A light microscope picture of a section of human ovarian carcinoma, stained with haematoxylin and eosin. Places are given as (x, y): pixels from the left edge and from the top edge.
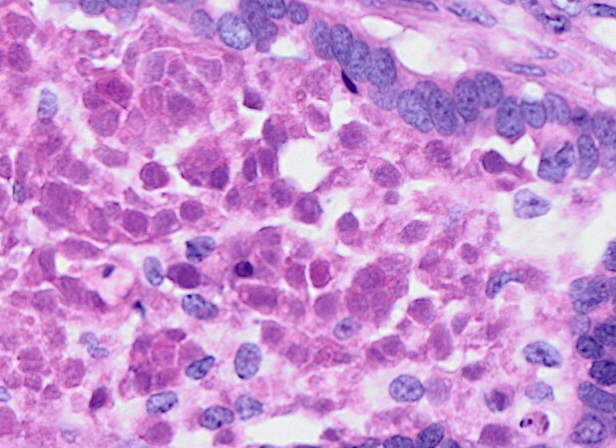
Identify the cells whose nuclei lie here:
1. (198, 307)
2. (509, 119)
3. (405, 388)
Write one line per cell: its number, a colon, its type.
1: macrophage or monocyte
2: carcinoma cell
3: macrophage or monocyte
